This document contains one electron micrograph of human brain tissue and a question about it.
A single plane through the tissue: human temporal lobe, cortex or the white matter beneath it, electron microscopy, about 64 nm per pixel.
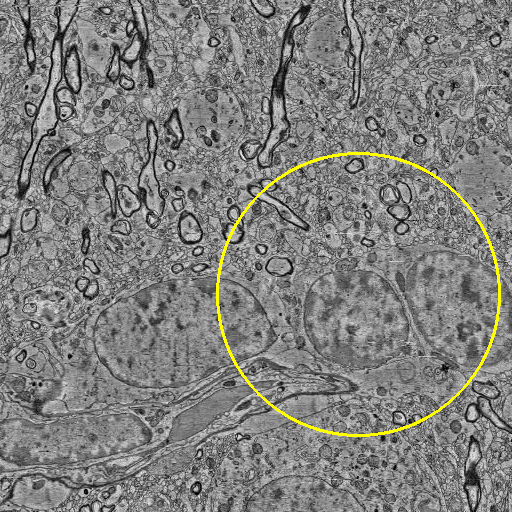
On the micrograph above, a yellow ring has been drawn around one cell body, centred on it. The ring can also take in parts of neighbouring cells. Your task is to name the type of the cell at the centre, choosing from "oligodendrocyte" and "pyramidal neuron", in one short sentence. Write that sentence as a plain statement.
Here the ring is centred on an oligodendrocyte.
